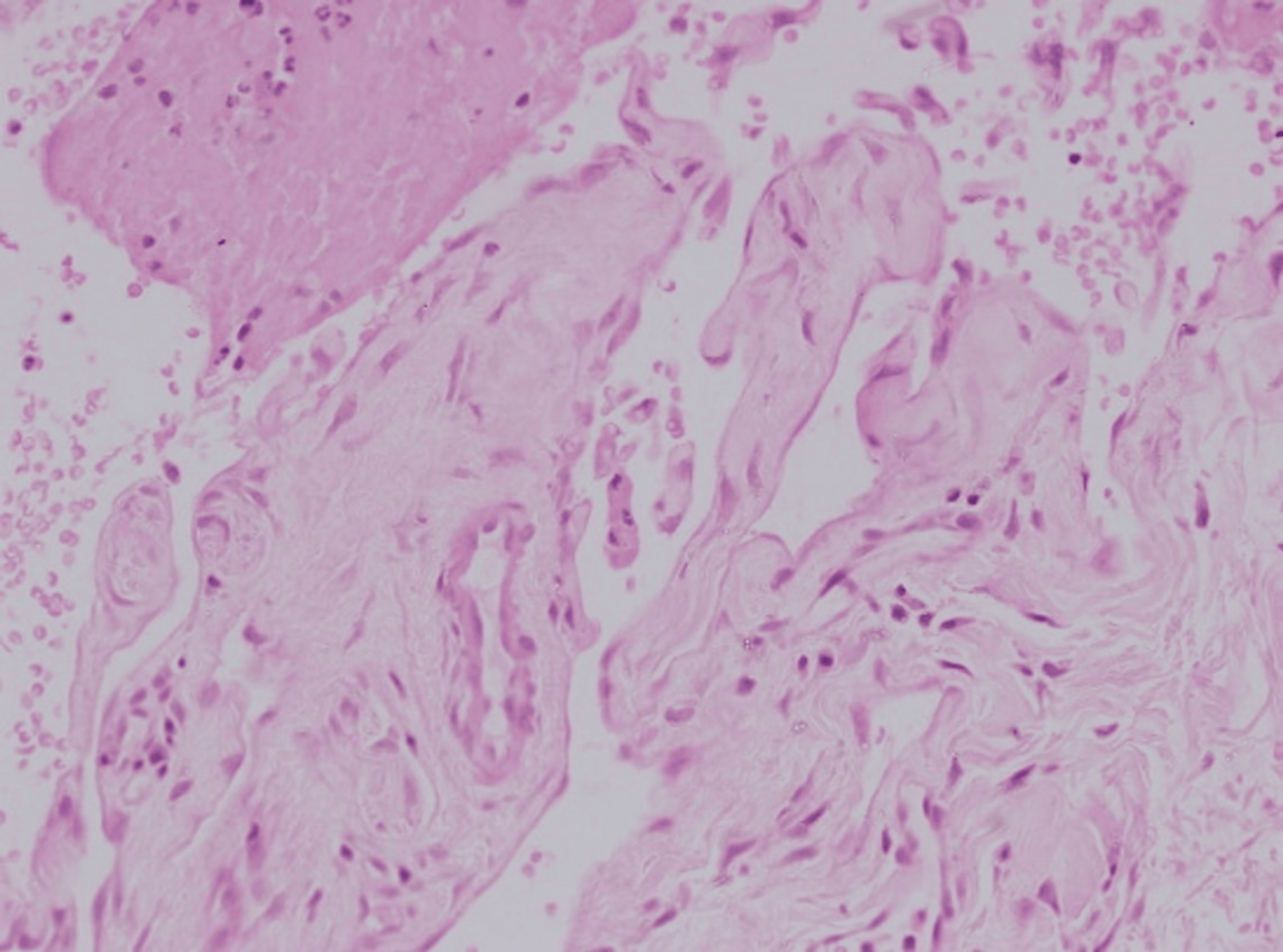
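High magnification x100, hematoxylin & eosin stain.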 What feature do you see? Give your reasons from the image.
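Fibrin deposits. At the upper left is a homogeneous, smooth pink mass. This mass holds only a few scattered small nuclei. Red blood cells lie around this mass.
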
